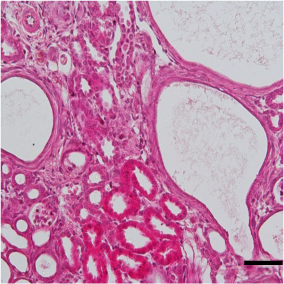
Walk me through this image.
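A section of kidney stained pink and purple is dominated by large cysts, wide pale spaces with faint pink content, lined by a thin layer of flattened cells with elongated nuclei. Between the cysts lie smaller tubules of various sizes, several of them also dilated, with cuboidal epithelium and round purple nuclei. Bands of loose pink connective tissue with scattered nuclei surround the cysts and separate them from the remaining tubules, which appear compressed and crowded into the spaces left between the enlarged cavities.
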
